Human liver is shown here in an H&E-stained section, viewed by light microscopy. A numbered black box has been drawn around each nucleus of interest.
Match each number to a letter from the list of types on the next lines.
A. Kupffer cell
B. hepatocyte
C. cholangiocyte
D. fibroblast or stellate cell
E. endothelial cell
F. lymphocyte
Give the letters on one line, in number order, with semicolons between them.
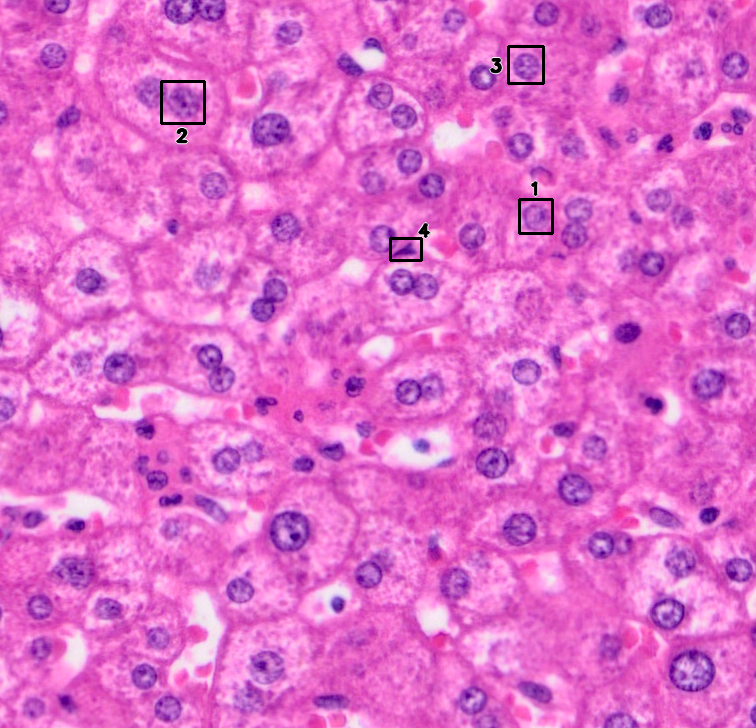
B; B; B; D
